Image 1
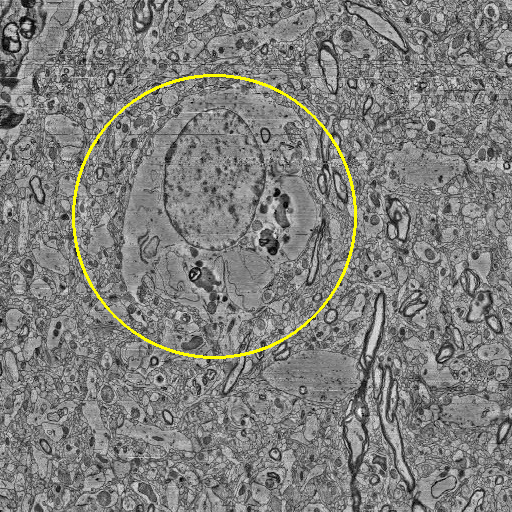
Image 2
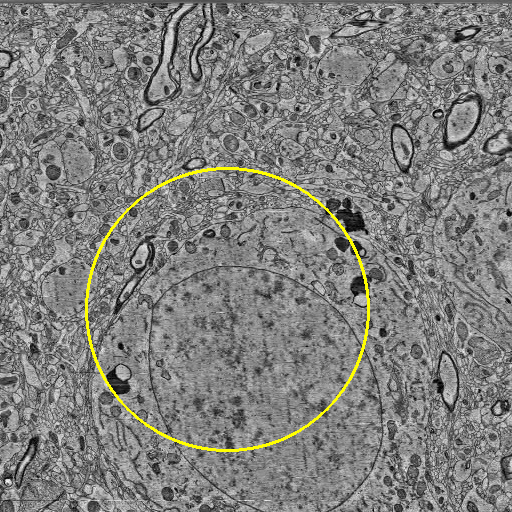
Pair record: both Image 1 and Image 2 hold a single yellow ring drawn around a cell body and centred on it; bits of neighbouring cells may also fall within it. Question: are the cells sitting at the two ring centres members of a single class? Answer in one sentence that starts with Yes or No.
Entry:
No, the ring-centre cells in Image 1 and Image 2 come from two classes.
